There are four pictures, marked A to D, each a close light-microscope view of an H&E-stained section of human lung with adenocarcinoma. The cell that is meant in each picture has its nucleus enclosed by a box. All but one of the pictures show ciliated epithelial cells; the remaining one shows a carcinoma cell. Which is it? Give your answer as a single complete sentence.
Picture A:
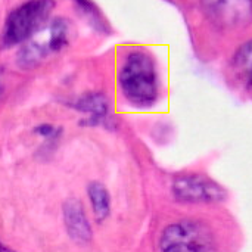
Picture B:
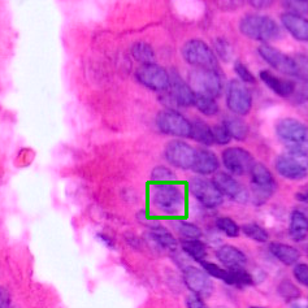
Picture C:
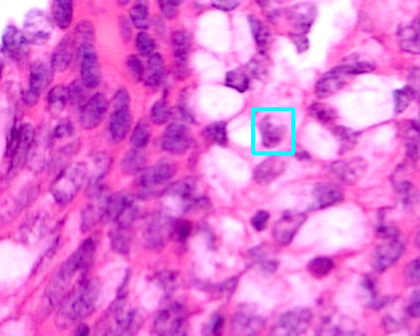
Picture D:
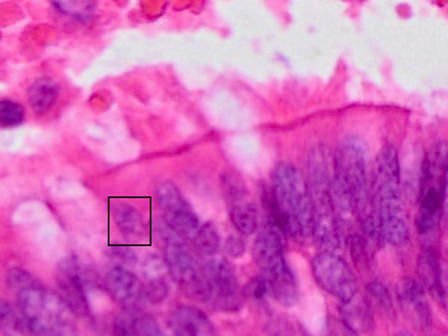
Picture A is the one that shows the carcinoma cell.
